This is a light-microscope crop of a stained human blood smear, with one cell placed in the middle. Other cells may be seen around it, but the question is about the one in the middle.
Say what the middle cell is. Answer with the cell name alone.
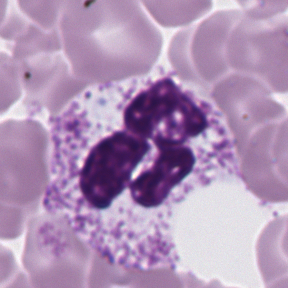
neutrophil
